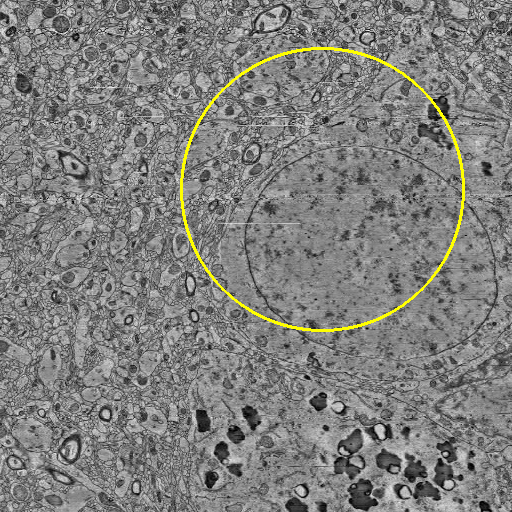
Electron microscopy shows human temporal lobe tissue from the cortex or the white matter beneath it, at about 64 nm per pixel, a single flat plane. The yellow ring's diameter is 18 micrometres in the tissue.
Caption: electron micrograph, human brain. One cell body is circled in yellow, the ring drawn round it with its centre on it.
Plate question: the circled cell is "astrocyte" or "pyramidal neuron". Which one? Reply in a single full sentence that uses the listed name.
The yellow ring on the plate is centred on a pyramidal neuron, going by the listed names.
